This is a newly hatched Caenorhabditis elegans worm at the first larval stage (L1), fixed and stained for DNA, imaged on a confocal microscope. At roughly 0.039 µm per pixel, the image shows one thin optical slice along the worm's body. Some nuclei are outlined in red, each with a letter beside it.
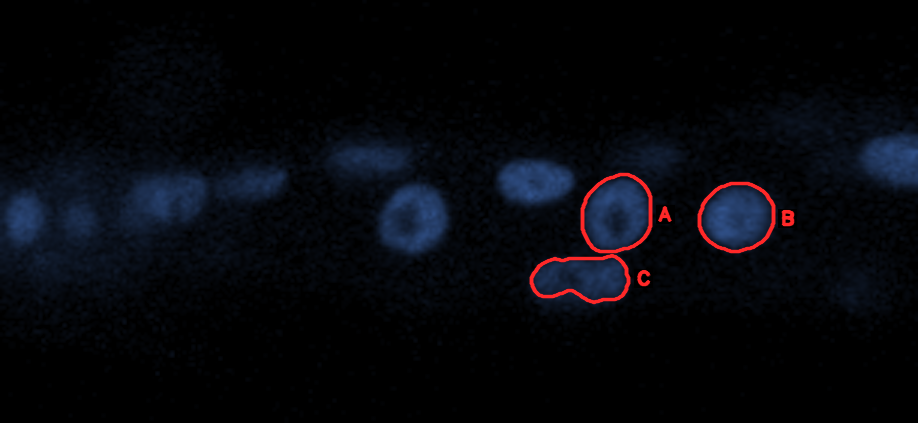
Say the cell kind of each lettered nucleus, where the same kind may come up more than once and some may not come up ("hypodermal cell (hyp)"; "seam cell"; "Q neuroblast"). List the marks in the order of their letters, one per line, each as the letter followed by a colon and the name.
A: seam cell
B: Q neuroblast
C: hypodermal cell (hyp)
